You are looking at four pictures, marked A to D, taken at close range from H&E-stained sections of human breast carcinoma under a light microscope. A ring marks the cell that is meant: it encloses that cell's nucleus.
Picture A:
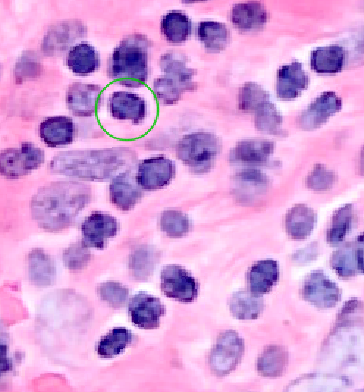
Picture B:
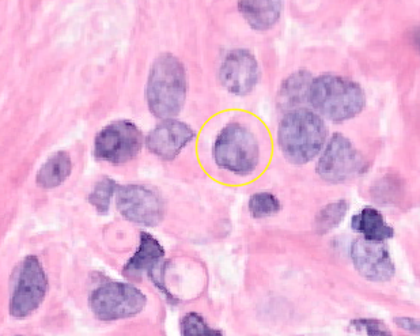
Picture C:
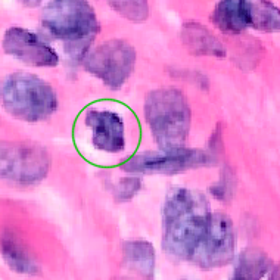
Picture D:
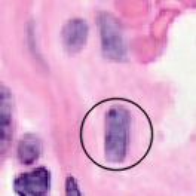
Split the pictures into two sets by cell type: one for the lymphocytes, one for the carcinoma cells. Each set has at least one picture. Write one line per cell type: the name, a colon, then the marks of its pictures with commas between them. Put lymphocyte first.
lymphocyte: A, C, D
carcinoma cell: B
